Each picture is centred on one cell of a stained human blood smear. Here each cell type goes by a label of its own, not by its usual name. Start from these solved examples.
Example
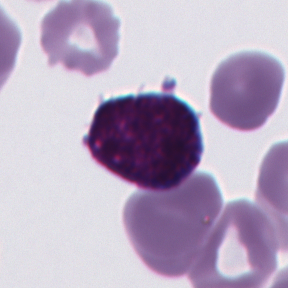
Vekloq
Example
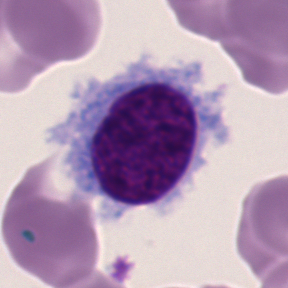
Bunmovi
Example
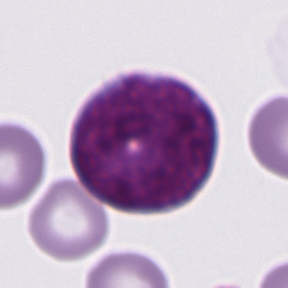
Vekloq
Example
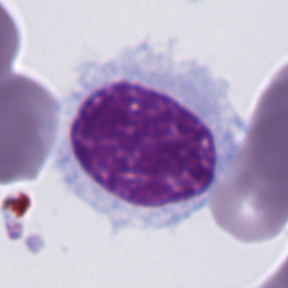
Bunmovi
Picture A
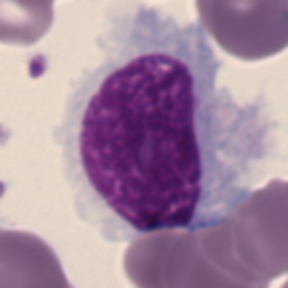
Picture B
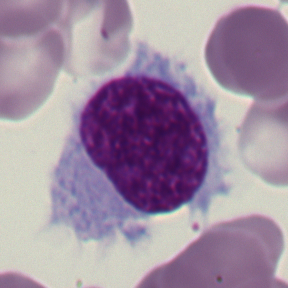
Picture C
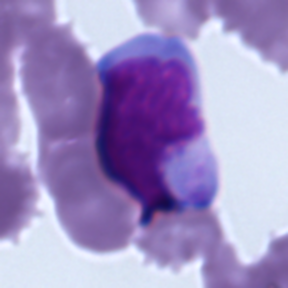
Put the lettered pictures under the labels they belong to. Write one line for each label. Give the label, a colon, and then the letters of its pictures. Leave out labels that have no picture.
Vekloq: C
Bunmovi: A, B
